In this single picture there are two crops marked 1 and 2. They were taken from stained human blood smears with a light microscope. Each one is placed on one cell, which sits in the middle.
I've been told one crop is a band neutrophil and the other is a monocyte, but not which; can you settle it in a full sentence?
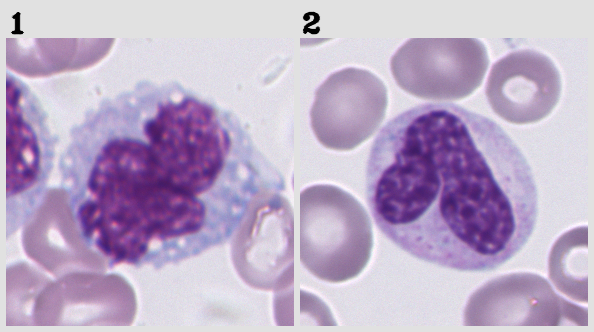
Crop 1 is designated a monocyte, and crop 2 is designated a band neutrophil.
